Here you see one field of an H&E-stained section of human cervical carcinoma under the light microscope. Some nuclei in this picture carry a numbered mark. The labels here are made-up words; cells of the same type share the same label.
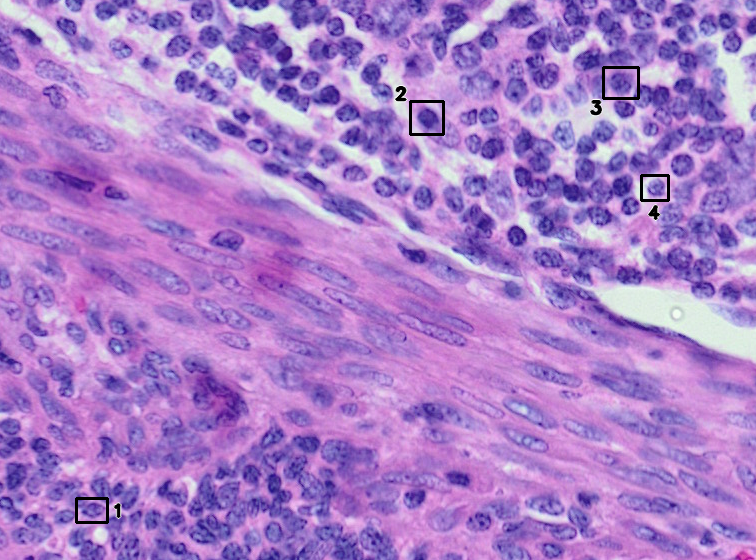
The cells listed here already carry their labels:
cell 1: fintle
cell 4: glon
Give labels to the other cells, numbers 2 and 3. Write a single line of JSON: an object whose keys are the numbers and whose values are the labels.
{"2": "glon", "3": "glon"}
